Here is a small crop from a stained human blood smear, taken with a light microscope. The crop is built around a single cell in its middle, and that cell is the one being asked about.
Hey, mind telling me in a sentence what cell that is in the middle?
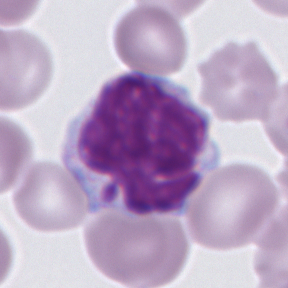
The centered cell in this crop is a large granular lymphocyte.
